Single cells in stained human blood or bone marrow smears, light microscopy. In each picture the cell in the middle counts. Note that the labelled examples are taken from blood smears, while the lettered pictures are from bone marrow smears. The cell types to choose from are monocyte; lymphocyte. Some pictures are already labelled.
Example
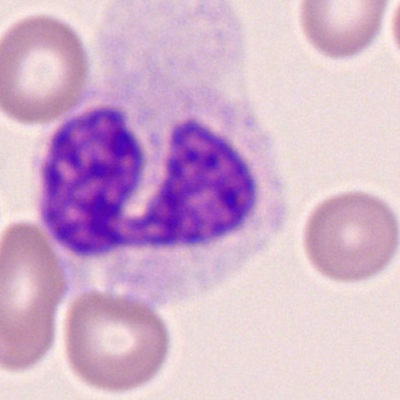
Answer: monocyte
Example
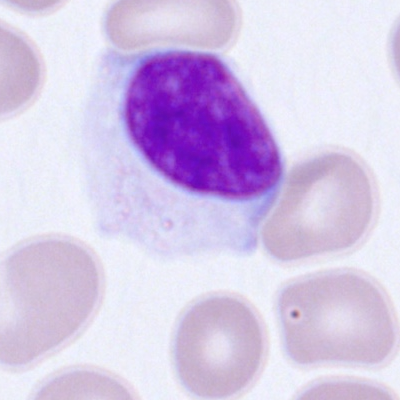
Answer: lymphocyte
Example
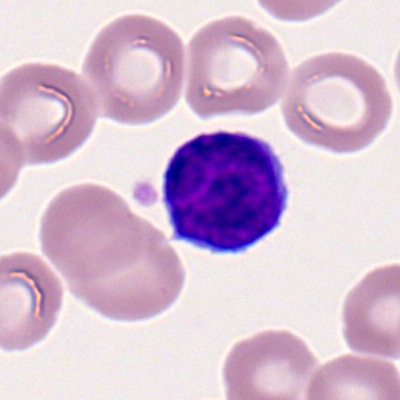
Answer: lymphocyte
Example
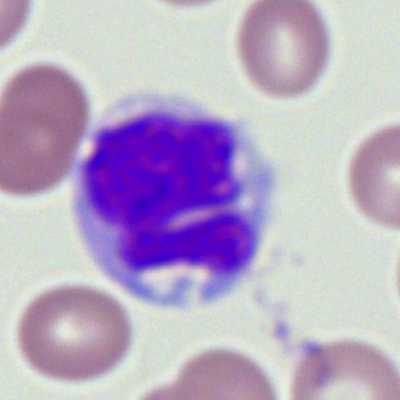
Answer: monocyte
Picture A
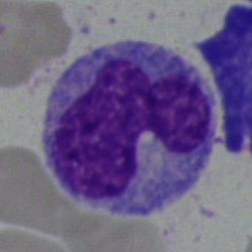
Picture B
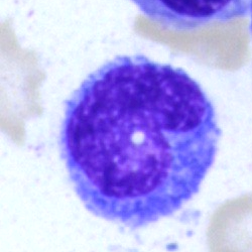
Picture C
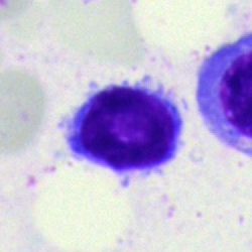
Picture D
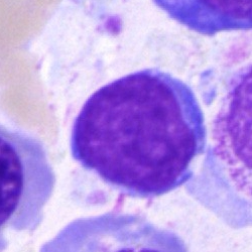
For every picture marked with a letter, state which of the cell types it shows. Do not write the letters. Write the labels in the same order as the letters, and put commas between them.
monocyte, monocyte, lymphocyte, lymphocyte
